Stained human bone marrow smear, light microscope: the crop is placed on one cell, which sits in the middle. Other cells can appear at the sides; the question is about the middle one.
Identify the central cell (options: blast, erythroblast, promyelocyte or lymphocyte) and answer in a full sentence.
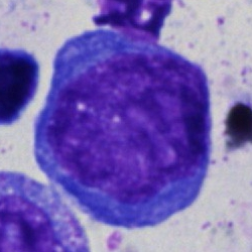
The centrally positioned cell in the crop represents a blast.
